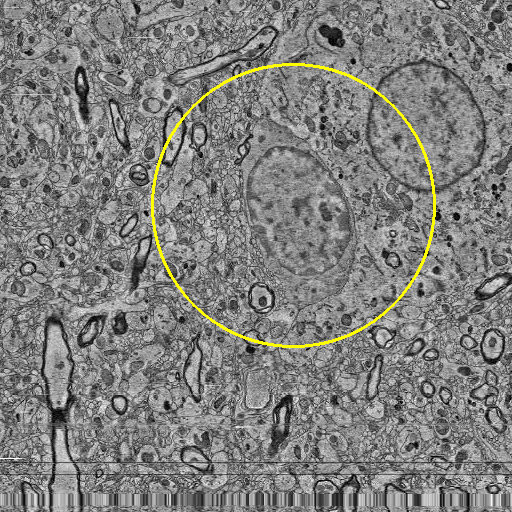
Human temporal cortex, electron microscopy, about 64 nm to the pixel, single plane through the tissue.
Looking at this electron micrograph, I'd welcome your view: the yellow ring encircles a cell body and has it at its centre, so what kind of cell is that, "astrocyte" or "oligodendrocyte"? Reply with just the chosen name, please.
oligodendrocyte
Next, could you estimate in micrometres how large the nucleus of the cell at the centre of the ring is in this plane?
Approximately 9 micrometres long and 6 micrometres wide, in this plane.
